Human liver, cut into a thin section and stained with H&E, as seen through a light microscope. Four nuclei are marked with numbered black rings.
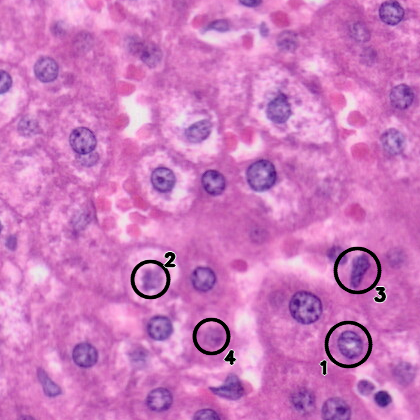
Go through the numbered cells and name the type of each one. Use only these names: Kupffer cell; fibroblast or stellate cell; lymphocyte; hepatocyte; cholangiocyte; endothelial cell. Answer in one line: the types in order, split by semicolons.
hepatocyte; hepatocyte; fibroblast or stellate cell; hepatocyte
